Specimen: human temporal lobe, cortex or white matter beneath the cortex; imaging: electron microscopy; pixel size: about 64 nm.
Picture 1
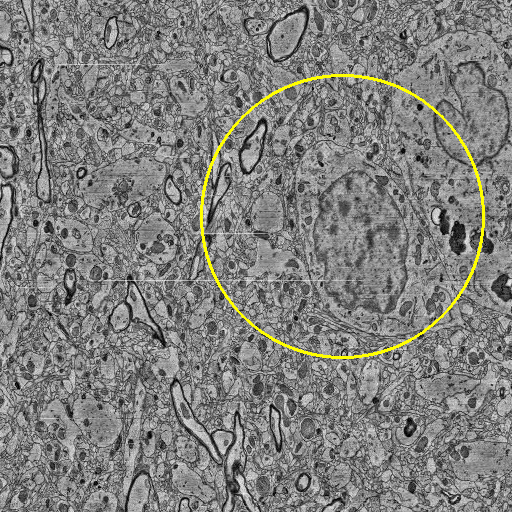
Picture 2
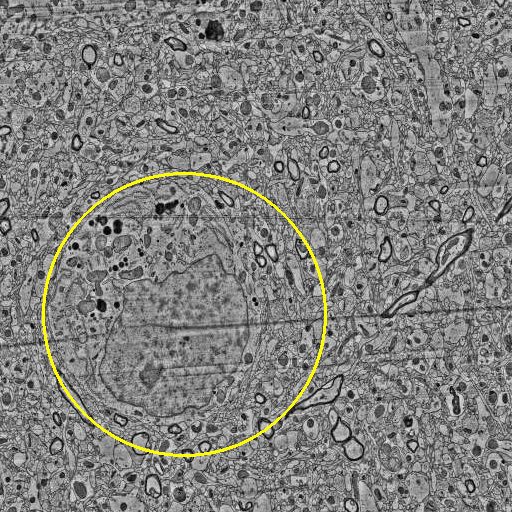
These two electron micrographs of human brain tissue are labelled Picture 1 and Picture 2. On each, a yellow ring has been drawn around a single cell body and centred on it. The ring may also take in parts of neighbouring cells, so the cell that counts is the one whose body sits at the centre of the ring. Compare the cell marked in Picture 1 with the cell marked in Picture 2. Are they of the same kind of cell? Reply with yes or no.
yes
